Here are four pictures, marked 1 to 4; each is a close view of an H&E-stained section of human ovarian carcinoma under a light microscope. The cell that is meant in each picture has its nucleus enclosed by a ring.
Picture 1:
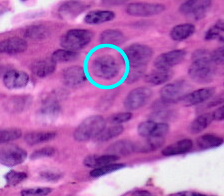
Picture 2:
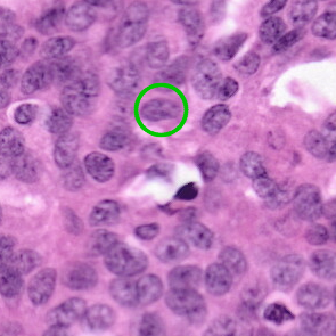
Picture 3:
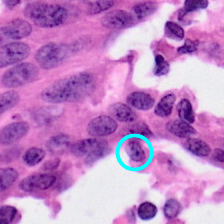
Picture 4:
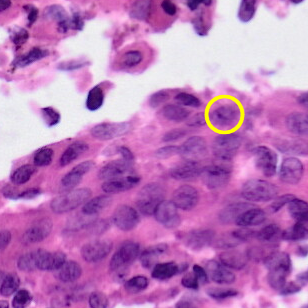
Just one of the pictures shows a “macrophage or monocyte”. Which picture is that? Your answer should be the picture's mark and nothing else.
3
